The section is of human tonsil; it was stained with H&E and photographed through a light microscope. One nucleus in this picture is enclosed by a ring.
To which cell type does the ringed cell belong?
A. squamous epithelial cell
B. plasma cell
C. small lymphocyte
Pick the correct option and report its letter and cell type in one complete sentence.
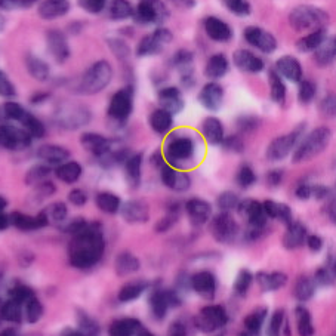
Answer with option C; the ringed cell is a small lymphocyte.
